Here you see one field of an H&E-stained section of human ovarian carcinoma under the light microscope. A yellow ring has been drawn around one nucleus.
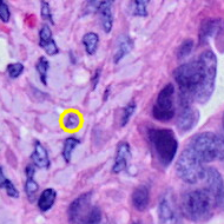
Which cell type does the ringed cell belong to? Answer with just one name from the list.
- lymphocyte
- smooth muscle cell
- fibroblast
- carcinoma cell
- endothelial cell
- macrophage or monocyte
fibroblast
